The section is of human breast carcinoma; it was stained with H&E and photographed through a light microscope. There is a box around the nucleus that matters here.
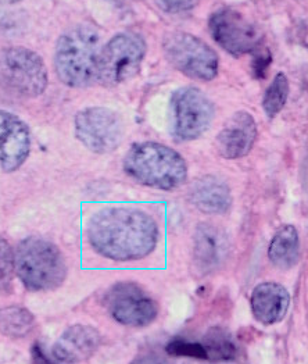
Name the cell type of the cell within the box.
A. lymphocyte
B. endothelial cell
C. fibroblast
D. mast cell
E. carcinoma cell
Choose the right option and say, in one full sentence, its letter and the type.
Under option E, the cell within the box is listed as a carcinoma cell, which is correct.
